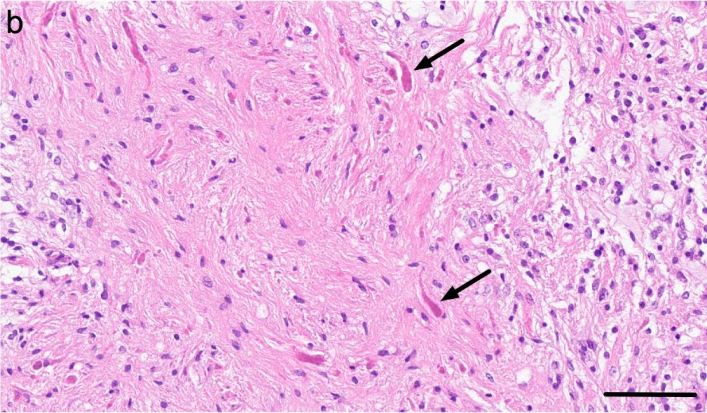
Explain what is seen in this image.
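This is the compact fibrillary part of a glial tumour, made of elongated cells with oval to spindle nuclei set in a dense pink fibrillary matrix. Scattered through the fibrils are elongated, brightly eosinophilic, corkscrew-shaped Rosenthal fibres. Toward one side the tissue becomes looser and paler, with small clear spaces.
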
